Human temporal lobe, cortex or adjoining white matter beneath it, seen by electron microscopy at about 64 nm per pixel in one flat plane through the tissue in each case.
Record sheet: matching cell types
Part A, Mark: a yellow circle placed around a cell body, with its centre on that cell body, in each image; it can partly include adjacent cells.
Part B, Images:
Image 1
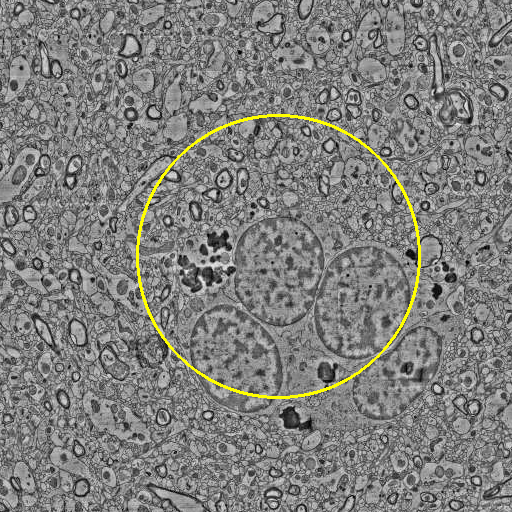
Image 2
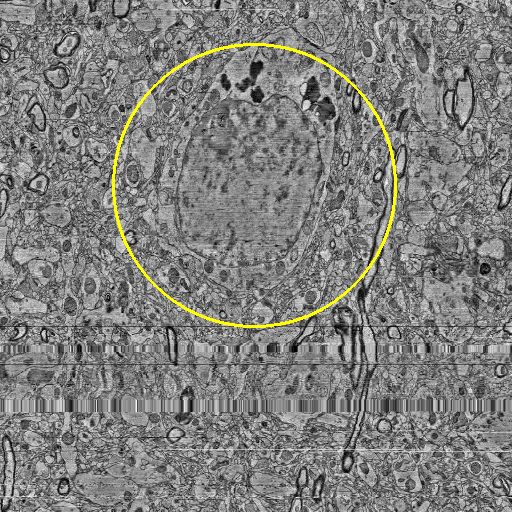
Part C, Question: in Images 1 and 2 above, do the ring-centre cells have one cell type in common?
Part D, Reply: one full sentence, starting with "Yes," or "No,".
No, the ring-centre cells of Image 1 and Image 2 are each of a separate cell type.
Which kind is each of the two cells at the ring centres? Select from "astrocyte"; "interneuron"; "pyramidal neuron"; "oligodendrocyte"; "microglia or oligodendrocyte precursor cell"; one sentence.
The cell at the centre of the ring is an oligodendrocyte in the first picture and an interneuron in the second.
